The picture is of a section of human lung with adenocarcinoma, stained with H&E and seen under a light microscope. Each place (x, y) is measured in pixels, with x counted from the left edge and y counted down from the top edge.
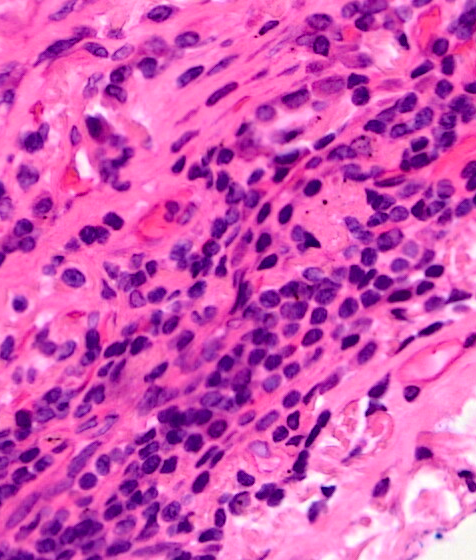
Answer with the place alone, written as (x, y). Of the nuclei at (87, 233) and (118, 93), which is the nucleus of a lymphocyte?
(87, 233)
